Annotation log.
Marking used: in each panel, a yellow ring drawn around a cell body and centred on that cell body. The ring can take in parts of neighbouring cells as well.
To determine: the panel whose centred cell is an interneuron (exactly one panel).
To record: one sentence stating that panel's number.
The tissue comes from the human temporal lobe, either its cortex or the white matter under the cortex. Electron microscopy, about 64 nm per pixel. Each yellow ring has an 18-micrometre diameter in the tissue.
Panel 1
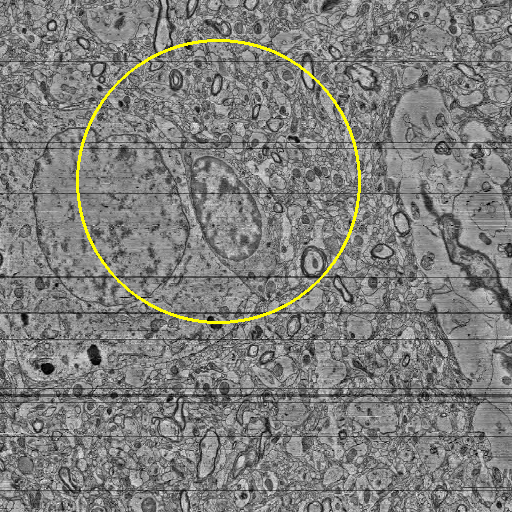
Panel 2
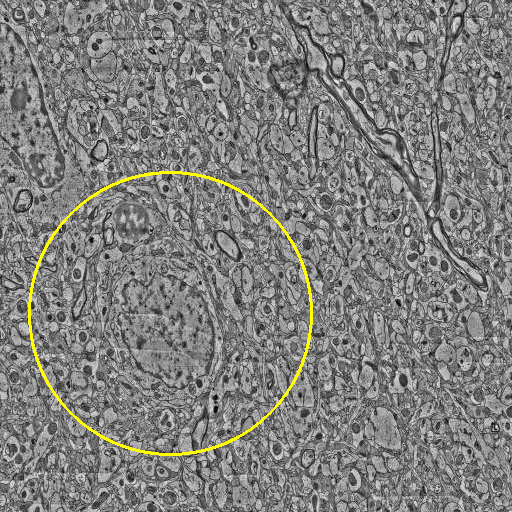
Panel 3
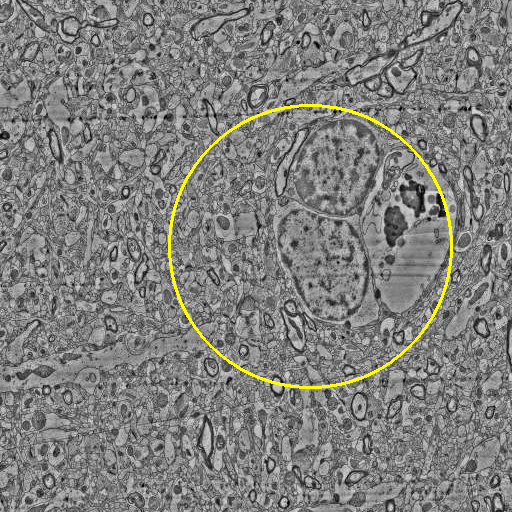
Panel 2 shows it at the centre of its ring.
